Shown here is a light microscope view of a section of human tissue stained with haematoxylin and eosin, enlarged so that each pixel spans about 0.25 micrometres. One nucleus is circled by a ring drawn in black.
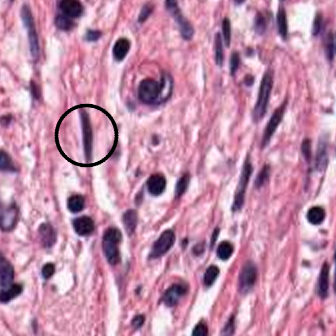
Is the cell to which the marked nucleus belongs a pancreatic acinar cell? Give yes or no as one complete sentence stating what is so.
No, the cell that carries the marked nucleus is a supporting cell, not a pancreatic acinar cell.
